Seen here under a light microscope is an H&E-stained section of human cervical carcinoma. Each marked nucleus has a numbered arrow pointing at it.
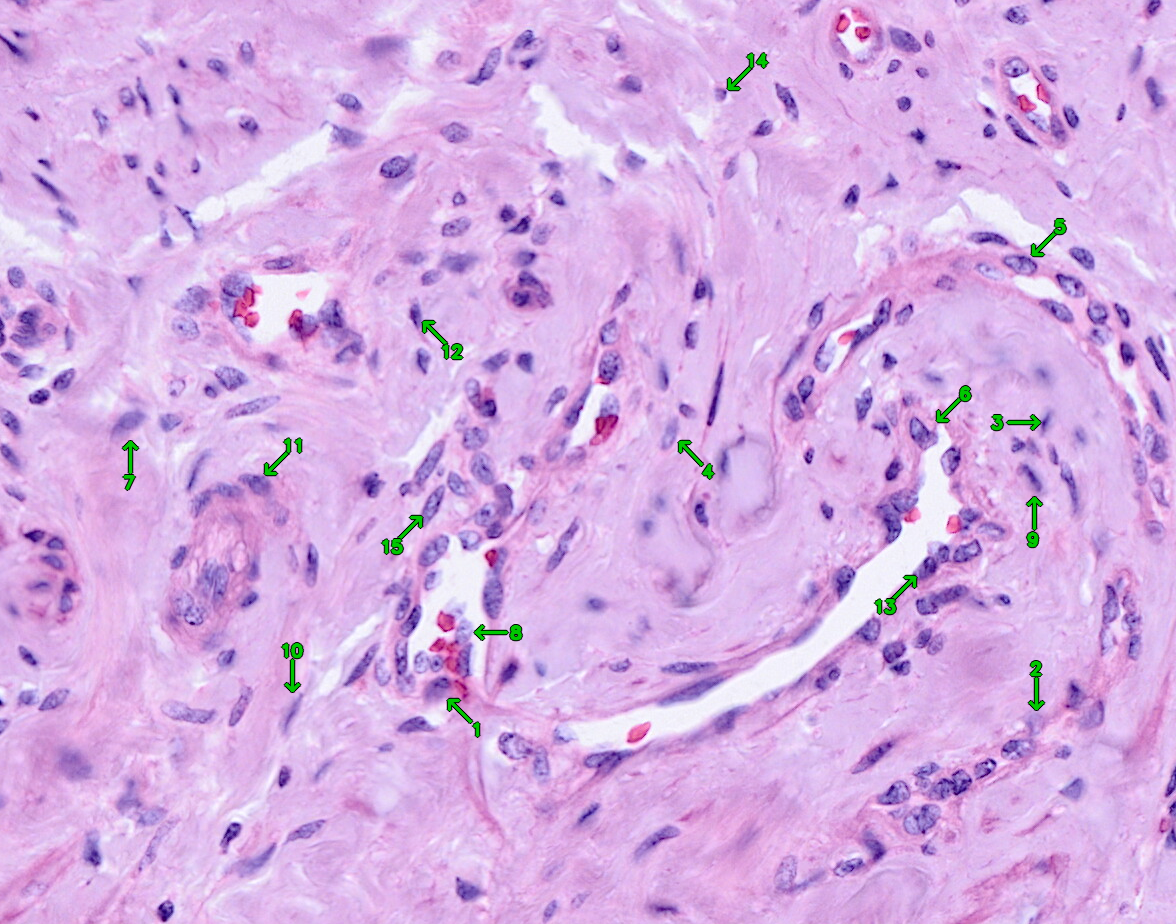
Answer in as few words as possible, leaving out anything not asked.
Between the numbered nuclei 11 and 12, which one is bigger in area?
11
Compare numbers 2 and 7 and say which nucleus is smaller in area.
2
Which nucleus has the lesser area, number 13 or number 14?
14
